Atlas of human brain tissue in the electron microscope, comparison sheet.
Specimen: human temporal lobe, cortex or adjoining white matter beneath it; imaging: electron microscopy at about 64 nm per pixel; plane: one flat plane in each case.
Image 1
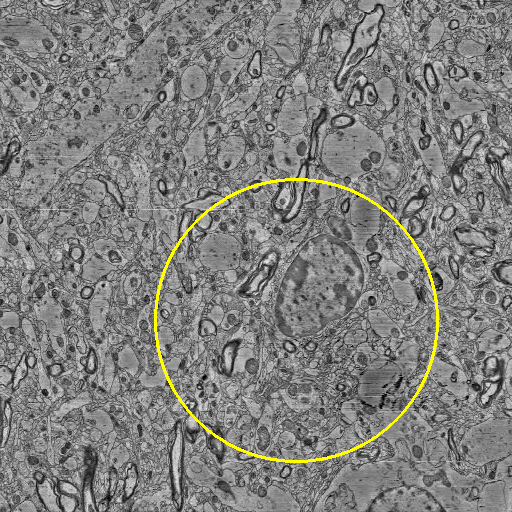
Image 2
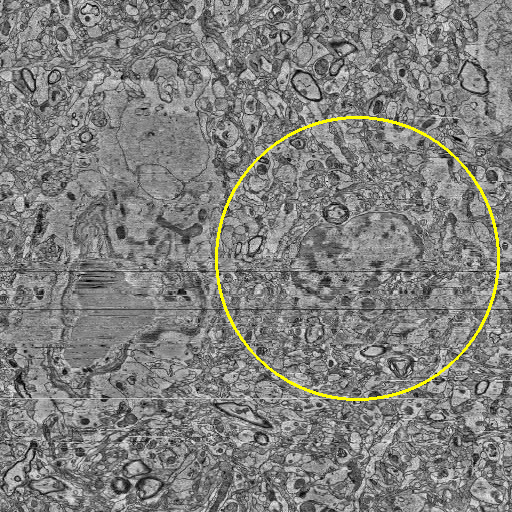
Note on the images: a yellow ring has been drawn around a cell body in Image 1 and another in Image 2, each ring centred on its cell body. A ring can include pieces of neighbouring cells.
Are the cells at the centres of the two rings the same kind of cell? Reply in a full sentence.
Yes, both cells are of the same kind.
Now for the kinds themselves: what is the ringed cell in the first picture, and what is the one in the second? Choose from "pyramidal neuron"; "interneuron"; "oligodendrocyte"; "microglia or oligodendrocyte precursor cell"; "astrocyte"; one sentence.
In each of the two pictures, the ringed cell is a microglial cell or oligodendrocyte precursor cell.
